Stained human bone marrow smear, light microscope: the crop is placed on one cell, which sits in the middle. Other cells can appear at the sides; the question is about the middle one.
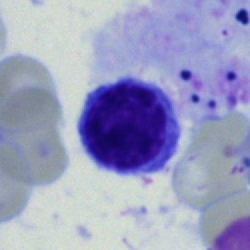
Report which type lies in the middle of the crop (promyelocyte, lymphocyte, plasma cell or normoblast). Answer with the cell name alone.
lymphocyte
